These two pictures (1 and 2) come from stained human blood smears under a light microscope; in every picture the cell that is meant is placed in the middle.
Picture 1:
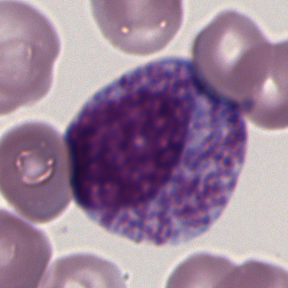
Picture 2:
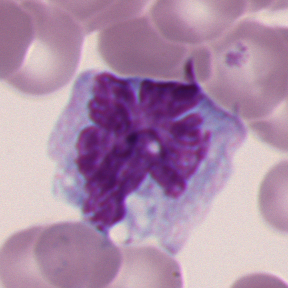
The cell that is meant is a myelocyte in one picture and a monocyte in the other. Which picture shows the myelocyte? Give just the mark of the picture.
1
